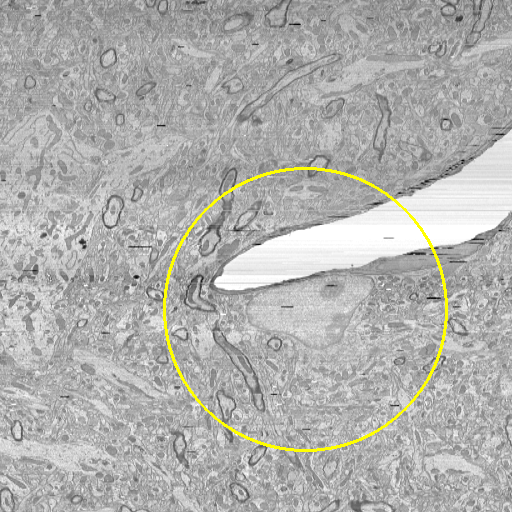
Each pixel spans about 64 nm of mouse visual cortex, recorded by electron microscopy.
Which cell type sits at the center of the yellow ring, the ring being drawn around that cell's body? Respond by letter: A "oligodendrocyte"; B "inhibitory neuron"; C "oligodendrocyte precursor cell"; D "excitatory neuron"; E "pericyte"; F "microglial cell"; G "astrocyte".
G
